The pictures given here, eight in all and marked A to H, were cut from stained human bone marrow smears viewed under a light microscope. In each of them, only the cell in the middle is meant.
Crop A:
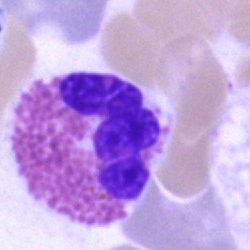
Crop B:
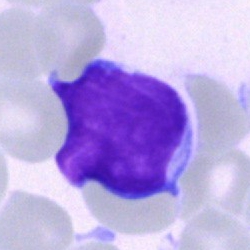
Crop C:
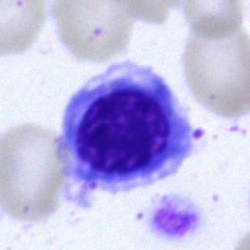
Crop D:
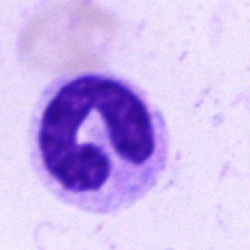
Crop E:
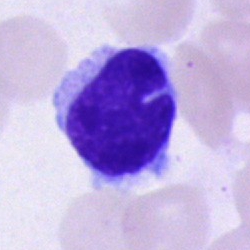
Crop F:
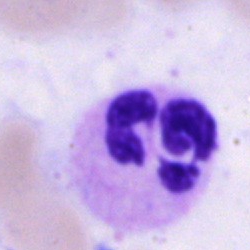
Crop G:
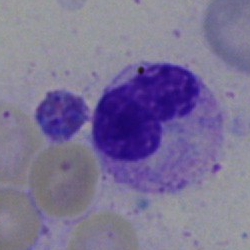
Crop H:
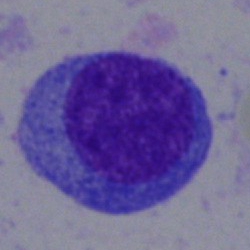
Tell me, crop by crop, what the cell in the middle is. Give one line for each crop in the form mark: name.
A: eosinophil
B: blast
C: erythroblast
D: band neutrophil
E: monocyte
F: segmented neutrophil
G: band neutrophil
H: plasma cell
